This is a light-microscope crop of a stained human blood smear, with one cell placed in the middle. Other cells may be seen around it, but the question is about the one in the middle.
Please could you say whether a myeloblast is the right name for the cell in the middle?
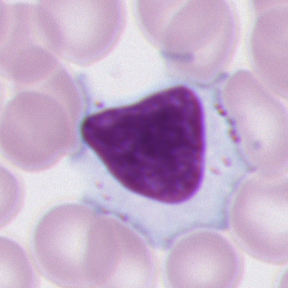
no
